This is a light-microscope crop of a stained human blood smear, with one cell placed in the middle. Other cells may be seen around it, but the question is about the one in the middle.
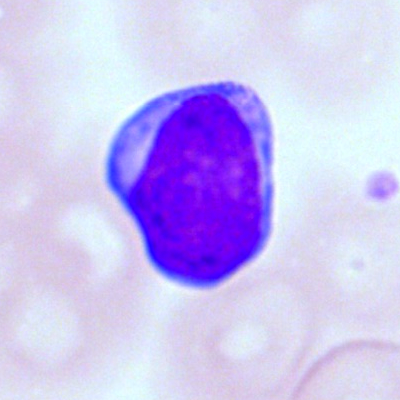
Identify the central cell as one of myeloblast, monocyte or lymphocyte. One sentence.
The cell at the middle of the frame should be recorded as a myeloblast.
